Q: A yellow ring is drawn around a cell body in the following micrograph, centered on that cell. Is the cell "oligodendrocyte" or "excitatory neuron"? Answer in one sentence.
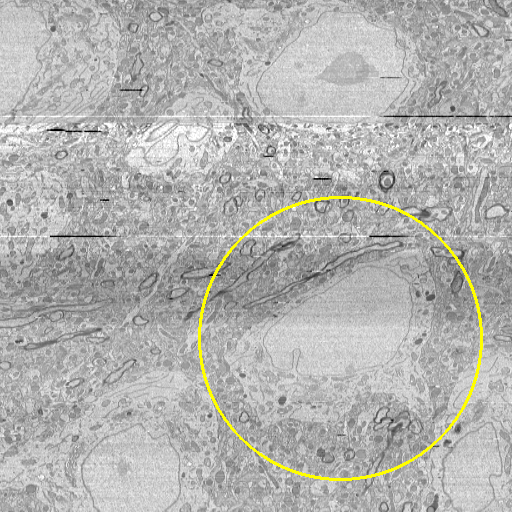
The cell in the center of the ring is an excitatory neuron.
